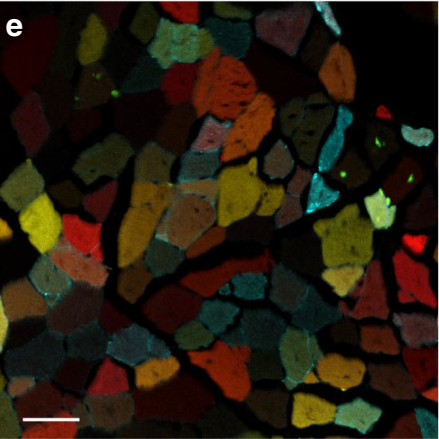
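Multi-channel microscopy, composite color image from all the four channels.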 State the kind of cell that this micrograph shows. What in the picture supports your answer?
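Muscle fibers. Narrow dark gaps separate neighbouring profiles. Profiles differ from one another in colour and brightness.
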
